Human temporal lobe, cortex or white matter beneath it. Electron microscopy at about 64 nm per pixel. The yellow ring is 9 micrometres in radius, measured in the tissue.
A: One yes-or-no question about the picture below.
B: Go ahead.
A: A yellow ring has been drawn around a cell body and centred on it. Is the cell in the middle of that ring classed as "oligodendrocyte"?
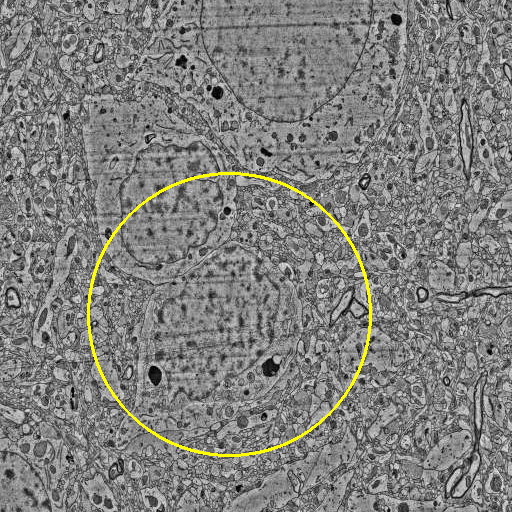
No, it is classed as another kind.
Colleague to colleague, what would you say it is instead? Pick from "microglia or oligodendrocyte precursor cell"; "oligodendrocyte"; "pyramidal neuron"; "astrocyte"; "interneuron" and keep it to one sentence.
The ringed cell in this picture is, instead, an interneuron.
